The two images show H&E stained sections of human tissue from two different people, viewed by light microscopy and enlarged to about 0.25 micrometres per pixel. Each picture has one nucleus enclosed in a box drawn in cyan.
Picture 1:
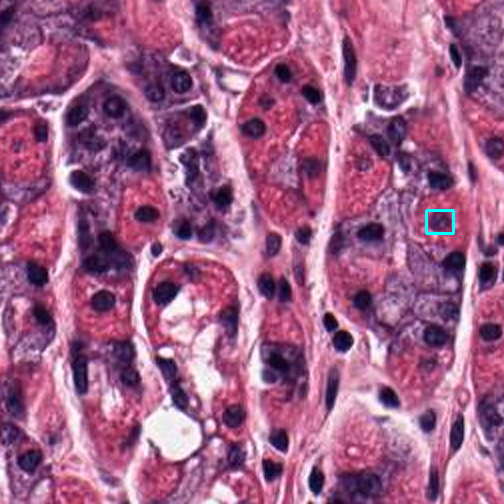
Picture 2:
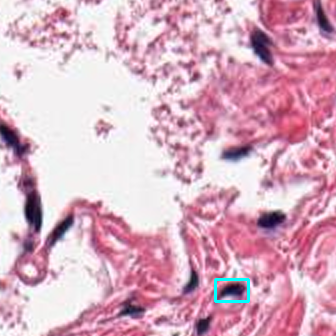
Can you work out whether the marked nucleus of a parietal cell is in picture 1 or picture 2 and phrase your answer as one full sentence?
In picture 1, the marked nucleus belongs to a parietal cell.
